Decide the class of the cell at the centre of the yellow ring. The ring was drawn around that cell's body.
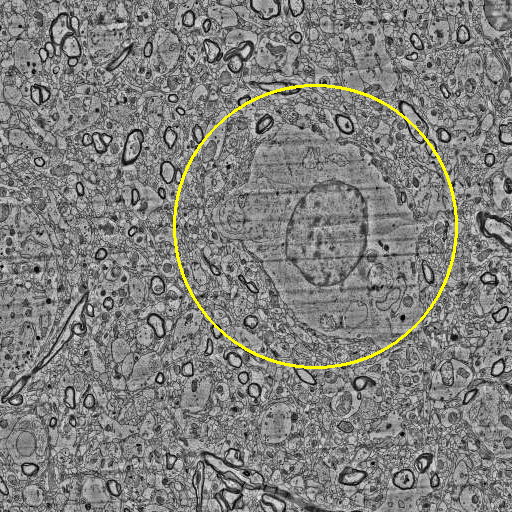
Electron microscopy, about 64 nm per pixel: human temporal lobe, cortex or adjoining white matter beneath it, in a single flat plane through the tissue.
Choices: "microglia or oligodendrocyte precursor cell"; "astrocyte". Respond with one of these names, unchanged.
astrocyte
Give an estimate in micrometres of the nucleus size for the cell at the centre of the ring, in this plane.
About 7 micrometres by about 5 micrometres in this plane.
